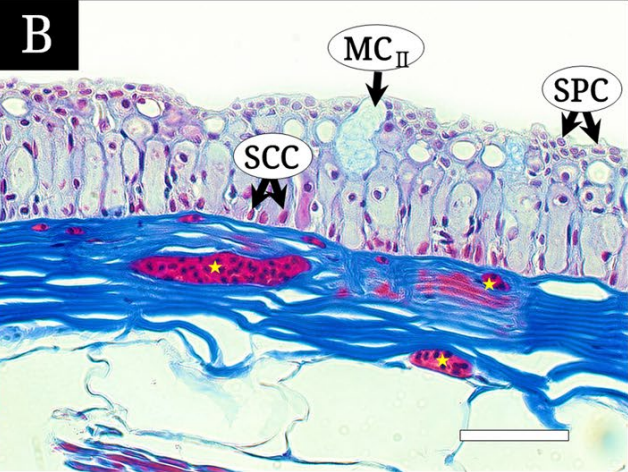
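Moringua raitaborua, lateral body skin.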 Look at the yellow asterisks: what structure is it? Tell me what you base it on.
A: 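Blood capillaries. Marked structures are oval profiles filled with red-stained cells with dark nuclei. They lie embedded within the blue-stained fibrous layer beneath the epidermis.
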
